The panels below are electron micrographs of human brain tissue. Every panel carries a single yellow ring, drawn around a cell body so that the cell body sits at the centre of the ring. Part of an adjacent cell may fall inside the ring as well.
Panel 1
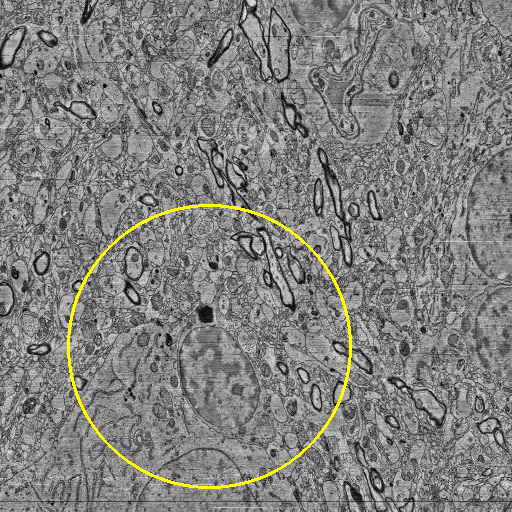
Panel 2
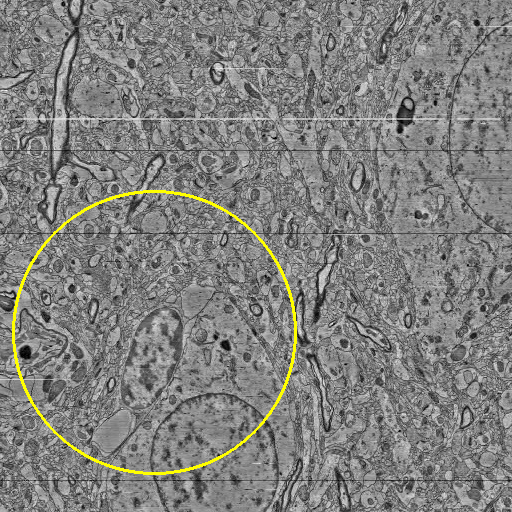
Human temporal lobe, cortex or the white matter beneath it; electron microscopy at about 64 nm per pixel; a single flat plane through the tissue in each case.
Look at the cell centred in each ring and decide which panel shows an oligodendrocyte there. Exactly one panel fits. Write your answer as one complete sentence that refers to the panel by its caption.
Panel 1 has it at the centre of its ring.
